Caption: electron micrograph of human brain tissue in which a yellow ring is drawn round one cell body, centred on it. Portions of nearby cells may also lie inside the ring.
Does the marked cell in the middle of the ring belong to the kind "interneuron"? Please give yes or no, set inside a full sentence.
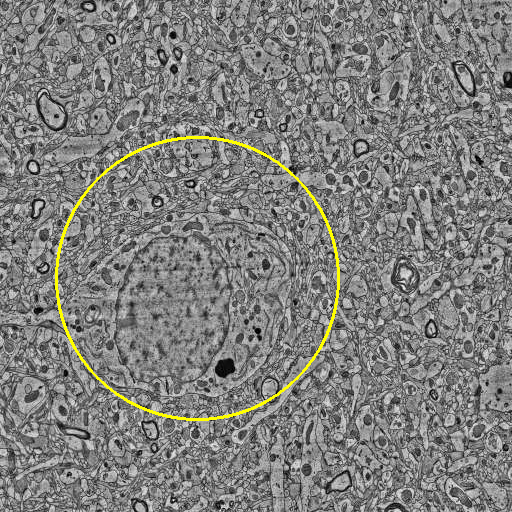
Yes, the marked cell that the ring is centred on in the picture is of that kind.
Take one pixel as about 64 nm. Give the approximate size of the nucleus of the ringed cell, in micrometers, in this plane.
Approximately 10 x 7 micrometres in this plane.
